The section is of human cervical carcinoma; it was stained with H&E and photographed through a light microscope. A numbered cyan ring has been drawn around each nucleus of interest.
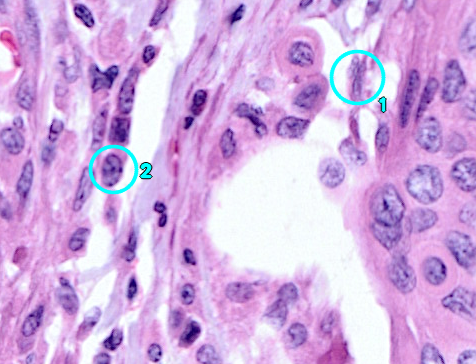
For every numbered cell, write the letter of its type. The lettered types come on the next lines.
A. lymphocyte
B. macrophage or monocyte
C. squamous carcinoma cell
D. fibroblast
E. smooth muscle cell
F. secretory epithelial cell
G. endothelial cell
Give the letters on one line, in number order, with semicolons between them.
D; B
